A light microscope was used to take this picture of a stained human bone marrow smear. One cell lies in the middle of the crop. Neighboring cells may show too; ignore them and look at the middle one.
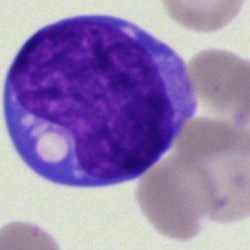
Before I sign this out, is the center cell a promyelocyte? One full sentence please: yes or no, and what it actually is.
No, the middle of the crop holds a blast, not a promyelocyte.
